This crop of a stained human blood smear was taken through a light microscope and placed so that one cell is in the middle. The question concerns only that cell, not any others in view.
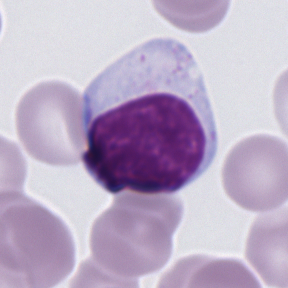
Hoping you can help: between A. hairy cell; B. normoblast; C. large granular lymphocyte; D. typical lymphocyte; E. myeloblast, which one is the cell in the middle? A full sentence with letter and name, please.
Option C holds, for the cell in the middle is a large granular lymphocyte.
